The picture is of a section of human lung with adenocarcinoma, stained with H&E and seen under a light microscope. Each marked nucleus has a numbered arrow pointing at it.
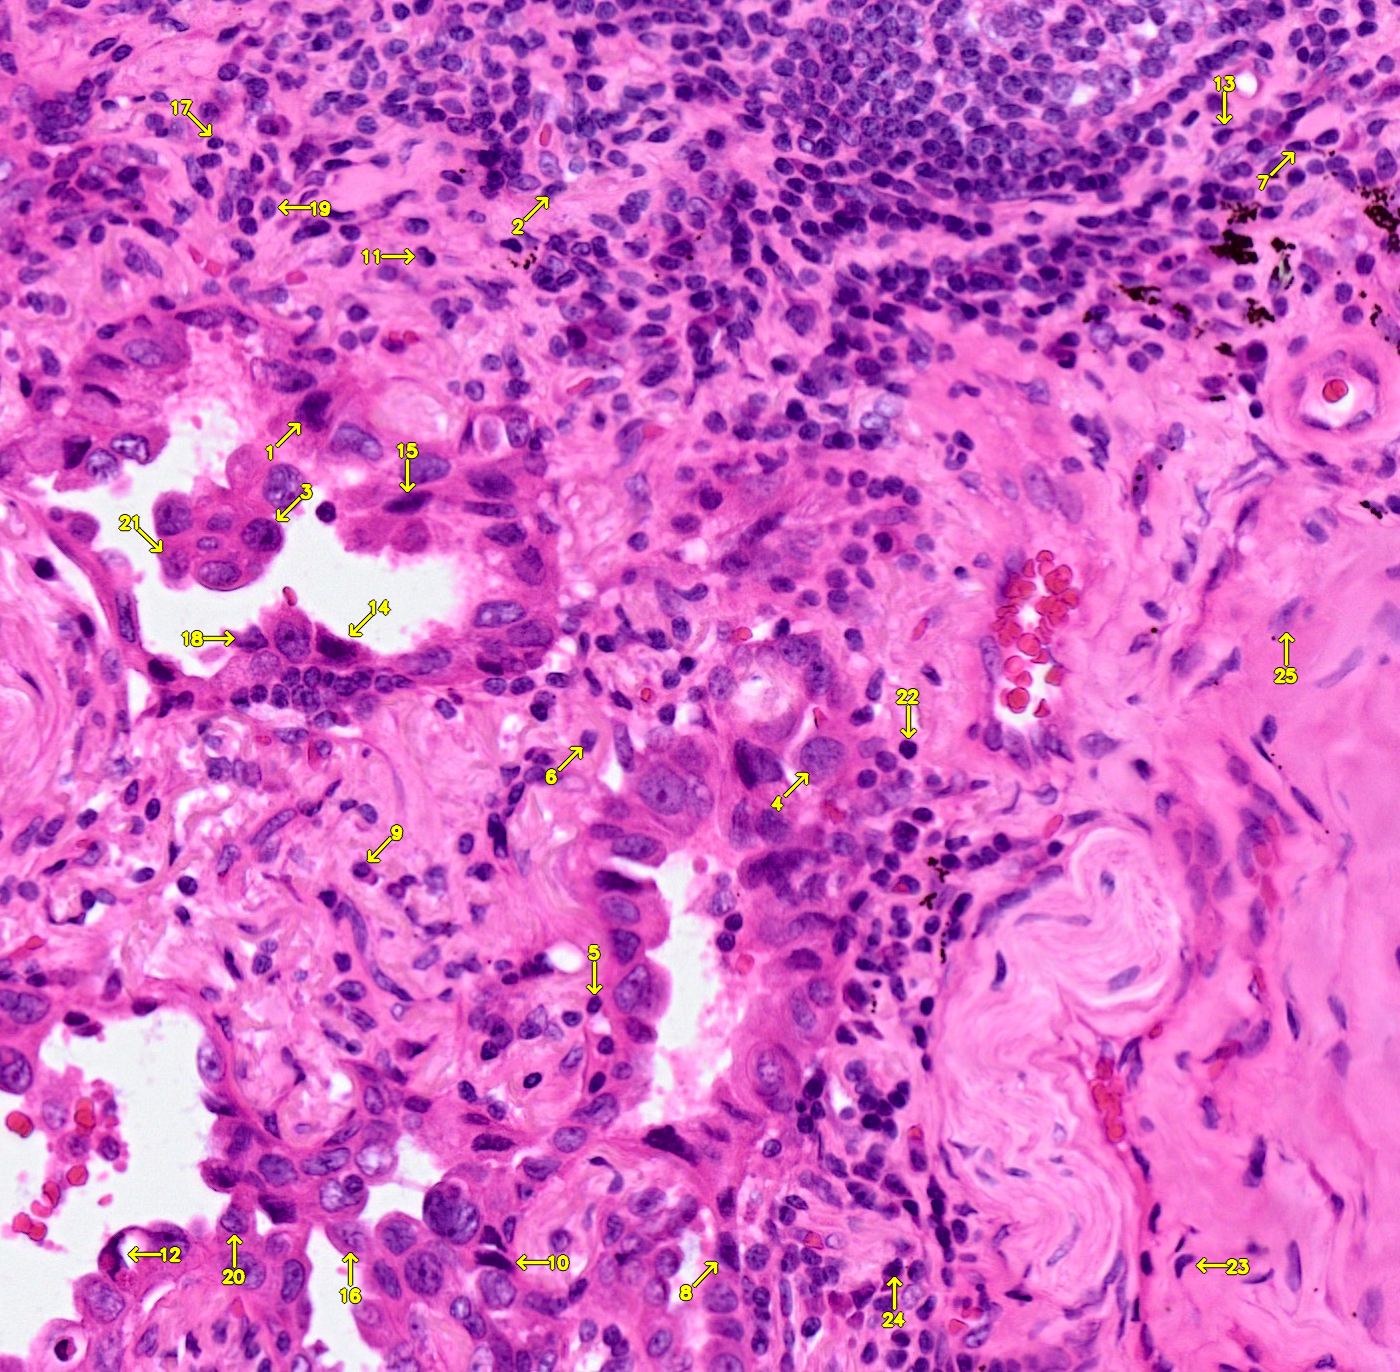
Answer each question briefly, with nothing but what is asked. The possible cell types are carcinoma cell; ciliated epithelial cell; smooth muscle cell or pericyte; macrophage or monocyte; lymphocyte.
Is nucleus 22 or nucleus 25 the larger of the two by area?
25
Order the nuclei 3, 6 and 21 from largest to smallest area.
3, 21, 6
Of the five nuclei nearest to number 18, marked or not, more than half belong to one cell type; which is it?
lymphocyte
